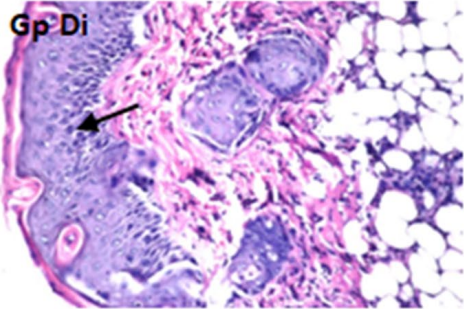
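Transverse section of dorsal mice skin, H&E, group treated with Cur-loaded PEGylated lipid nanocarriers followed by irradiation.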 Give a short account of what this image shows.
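The stratified squamous epithelium is many cell layers deep, with crowded purple nuclei in pale pink-lilac cytoplasm, and a thin wavy pink keratin layer covers its surface. To the right of the epidermis lies dermis of loose pink collagen fibres with scattered spindle-shaped nuclei. Rounded cross-sections of hair follicles, with layered epithelium around a central core, sit within the dermis. Further right, clear empty-looking fat cells of the subcutis appear beside a cluster of small dark nuclei.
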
